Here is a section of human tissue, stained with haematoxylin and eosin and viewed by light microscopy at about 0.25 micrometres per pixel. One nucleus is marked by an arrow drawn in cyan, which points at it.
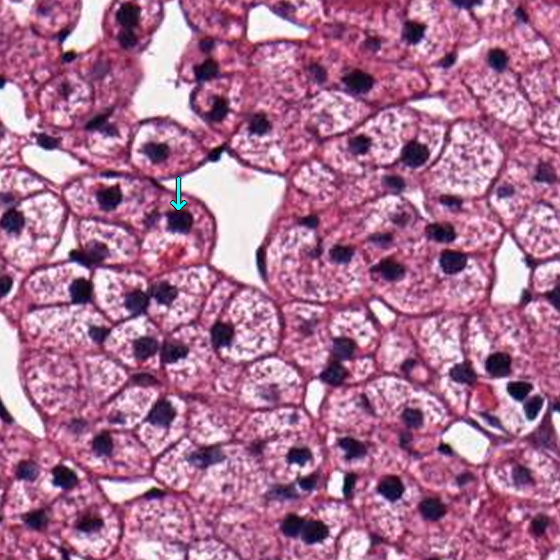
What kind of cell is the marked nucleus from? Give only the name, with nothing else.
adrenal cortical cell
